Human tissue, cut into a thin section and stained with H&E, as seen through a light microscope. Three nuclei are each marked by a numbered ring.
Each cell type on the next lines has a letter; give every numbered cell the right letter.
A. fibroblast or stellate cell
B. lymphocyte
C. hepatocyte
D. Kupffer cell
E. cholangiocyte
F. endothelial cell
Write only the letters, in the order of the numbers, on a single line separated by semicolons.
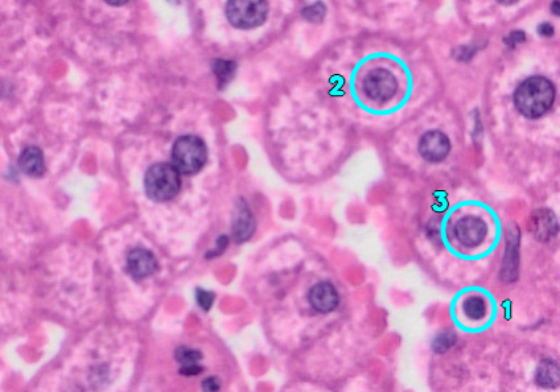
B; C; C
